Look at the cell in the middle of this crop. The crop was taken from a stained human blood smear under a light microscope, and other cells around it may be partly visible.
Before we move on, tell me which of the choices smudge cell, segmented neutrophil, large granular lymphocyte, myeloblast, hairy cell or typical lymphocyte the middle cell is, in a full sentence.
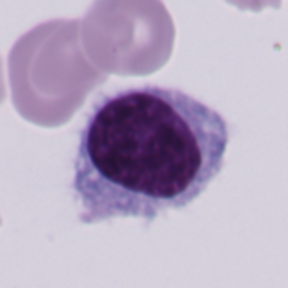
The crop shows a hairy cell in its centre.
